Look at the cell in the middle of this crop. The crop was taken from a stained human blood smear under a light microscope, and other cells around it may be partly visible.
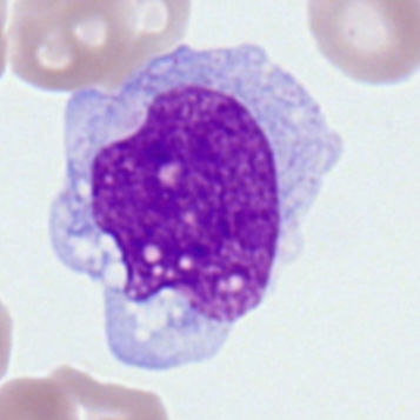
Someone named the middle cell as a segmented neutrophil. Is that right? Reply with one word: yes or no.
no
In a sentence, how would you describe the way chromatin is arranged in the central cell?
The chromatin here is fine and lacks any coarse clumps.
